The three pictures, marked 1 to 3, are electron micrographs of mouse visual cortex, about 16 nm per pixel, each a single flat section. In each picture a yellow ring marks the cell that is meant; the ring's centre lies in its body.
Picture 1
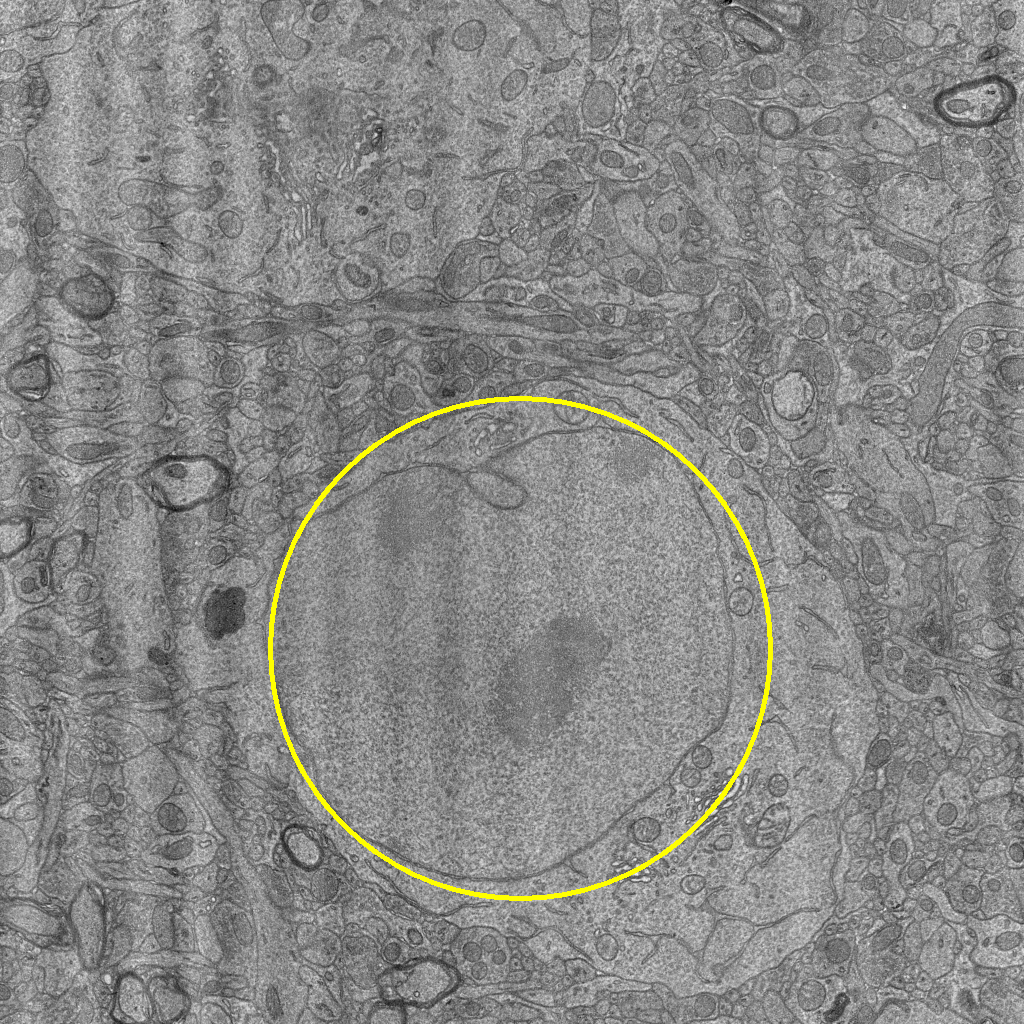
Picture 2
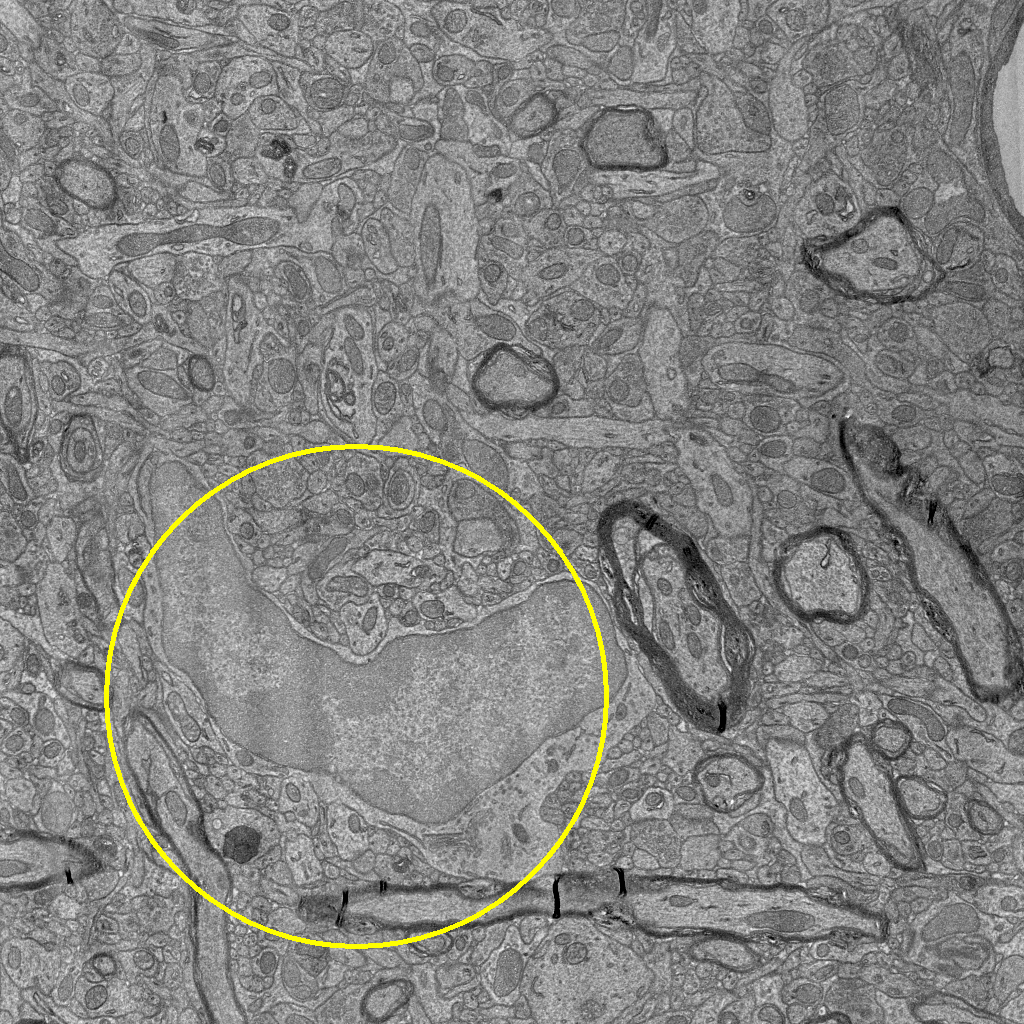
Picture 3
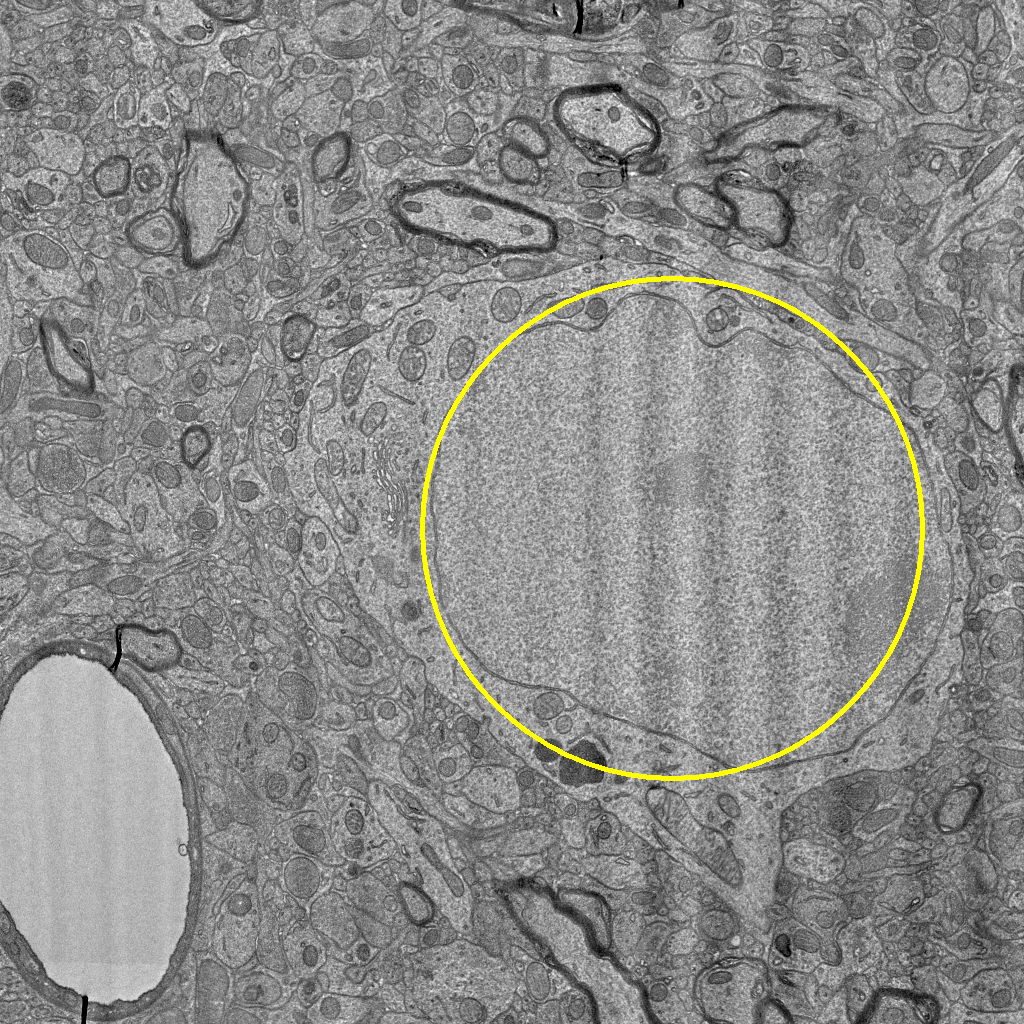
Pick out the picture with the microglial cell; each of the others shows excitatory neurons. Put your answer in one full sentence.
The picture with the microglial cell is 2.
